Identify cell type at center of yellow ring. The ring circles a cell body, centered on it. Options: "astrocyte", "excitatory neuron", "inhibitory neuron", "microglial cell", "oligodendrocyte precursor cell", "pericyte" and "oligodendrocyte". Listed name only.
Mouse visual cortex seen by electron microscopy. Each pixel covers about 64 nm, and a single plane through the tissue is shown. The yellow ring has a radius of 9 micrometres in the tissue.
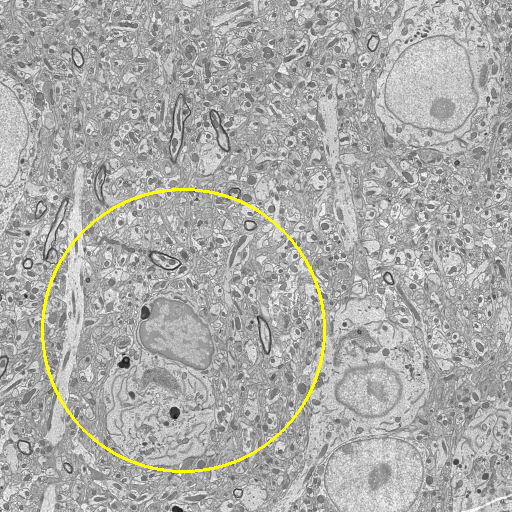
microglial cell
